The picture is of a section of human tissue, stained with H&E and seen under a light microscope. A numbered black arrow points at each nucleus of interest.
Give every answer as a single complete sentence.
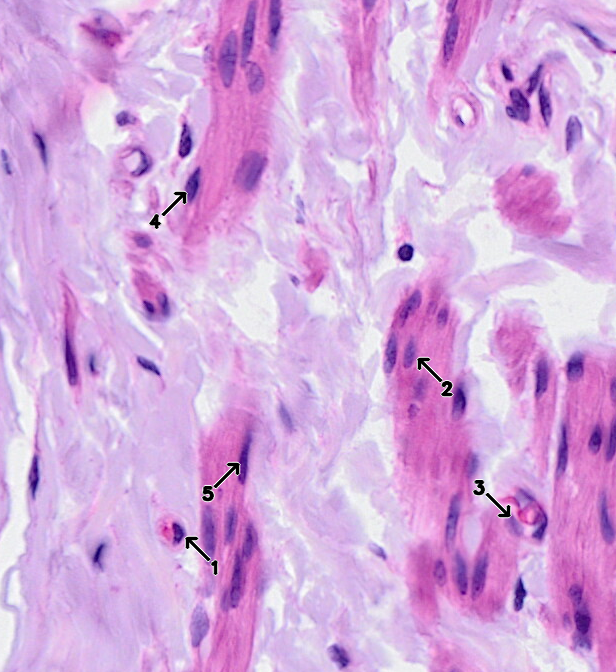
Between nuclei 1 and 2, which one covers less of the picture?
Number 1 is smaller, since number 2 takes up about 1.5 times as much area.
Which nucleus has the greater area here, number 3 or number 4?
At about 2 times the area of nucleus 3, nucleus 4 is the larger of the two.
